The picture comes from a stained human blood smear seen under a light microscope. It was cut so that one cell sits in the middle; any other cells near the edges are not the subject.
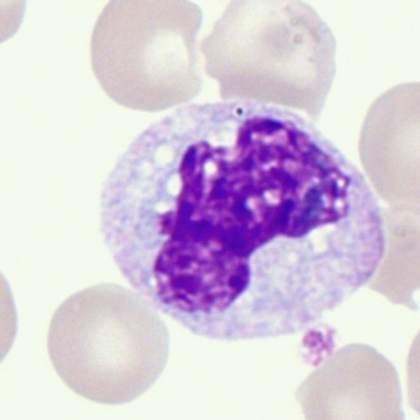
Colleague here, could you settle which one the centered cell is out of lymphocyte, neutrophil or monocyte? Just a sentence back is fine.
For this crop, the central cell is a monocyte.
